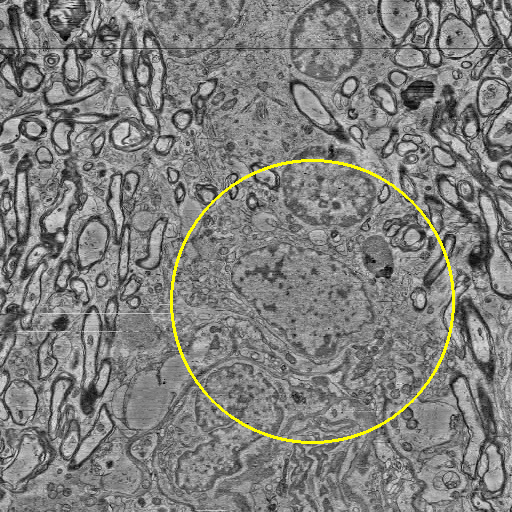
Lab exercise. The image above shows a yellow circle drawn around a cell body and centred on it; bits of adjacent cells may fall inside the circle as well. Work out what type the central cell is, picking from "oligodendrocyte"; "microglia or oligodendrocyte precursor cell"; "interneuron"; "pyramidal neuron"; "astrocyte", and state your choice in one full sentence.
In the image above, the cell at the centre of the yellow circle is an astrocyte.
